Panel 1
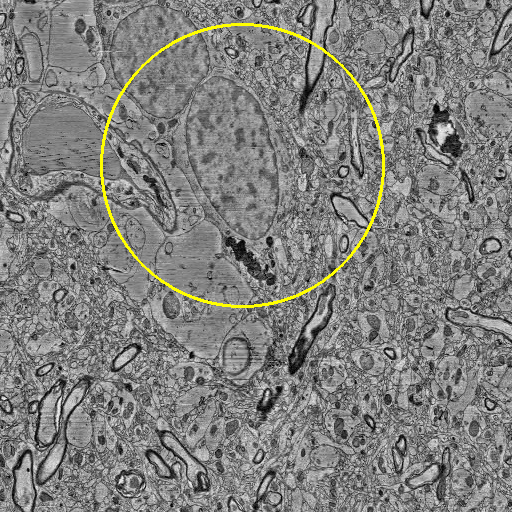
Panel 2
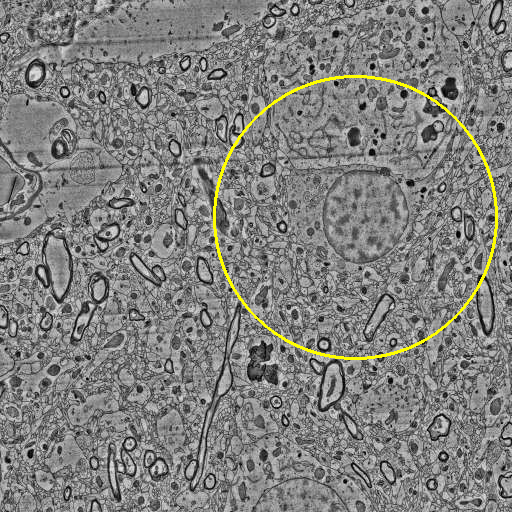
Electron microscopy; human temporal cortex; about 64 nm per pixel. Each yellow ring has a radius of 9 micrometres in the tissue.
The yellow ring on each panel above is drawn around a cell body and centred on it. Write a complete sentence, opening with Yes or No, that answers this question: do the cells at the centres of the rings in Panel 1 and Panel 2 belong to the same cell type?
Yes, both cells belong to the same cell type.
